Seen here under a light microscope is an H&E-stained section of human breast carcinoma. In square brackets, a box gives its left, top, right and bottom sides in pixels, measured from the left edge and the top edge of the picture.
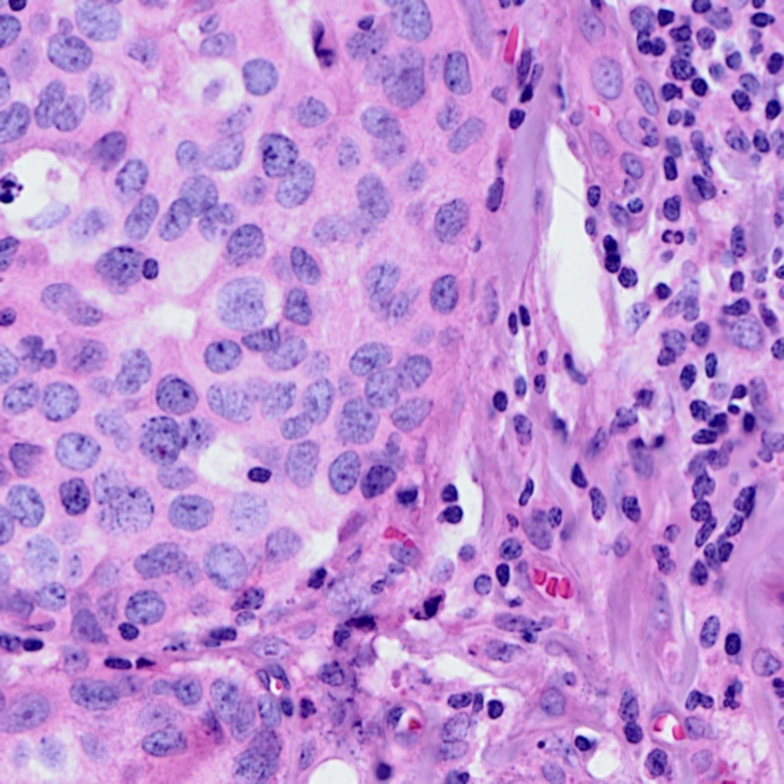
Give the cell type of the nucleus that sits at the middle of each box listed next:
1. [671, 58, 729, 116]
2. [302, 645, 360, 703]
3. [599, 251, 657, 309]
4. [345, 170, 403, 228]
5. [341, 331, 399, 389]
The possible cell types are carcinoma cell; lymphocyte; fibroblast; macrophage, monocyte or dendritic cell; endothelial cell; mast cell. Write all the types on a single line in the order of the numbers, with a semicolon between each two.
lymphocyte; macrophage, monocyte or dendritic cell; lymphocyte; carcinoma cell; carcinoma cell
